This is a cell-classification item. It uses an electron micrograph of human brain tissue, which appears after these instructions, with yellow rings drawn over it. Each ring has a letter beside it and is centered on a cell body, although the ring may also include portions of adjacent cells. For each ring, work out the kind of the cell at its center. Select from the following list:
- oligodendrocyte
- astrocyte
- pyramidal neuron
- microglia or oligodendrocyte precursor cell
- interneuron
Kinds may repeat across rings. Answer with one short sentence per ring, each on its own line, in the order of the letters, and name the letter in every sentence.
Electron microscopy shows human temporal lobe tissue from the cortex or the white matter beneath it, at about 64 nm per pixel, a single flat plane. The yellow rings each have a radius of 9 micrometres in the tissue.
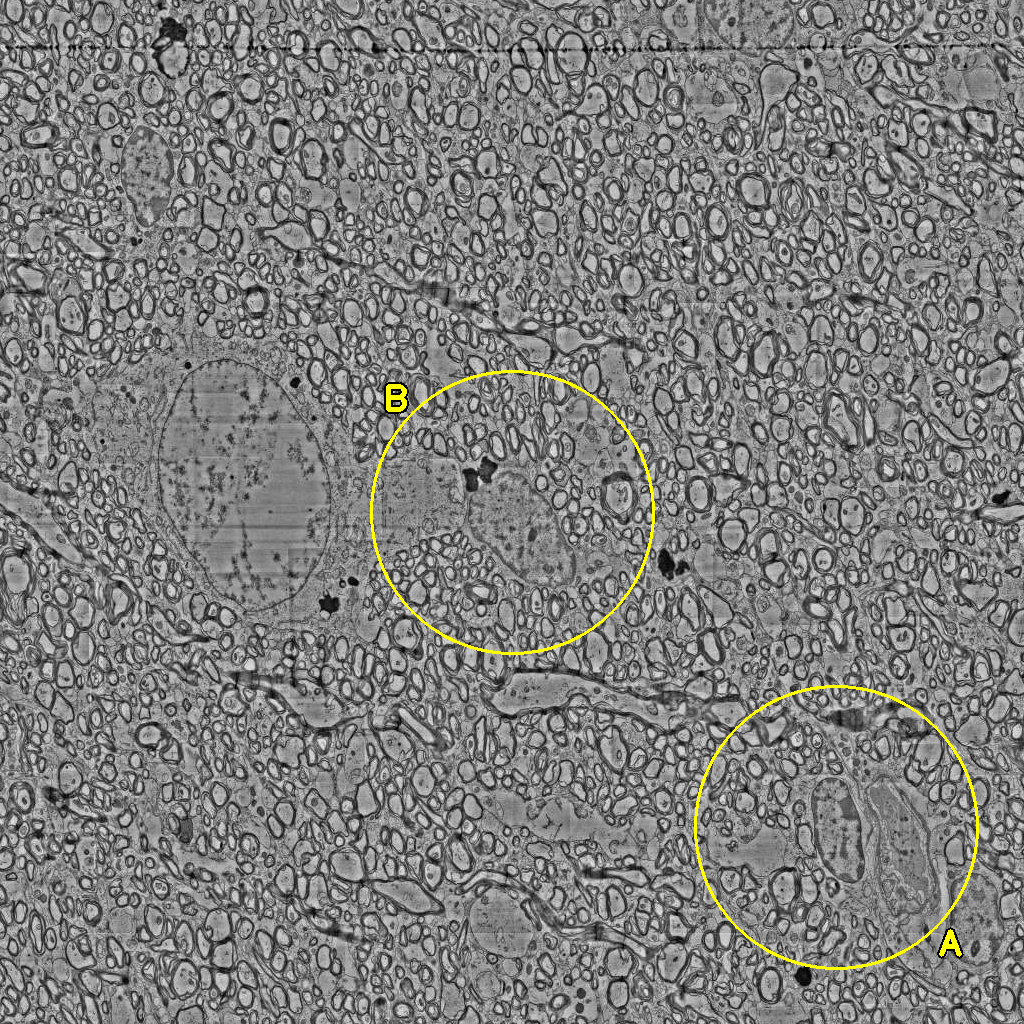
Ring A has a microglial cell or oligodendrocyte precursor cell at its center.
Ring B has an oligodendrocyte at its center.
